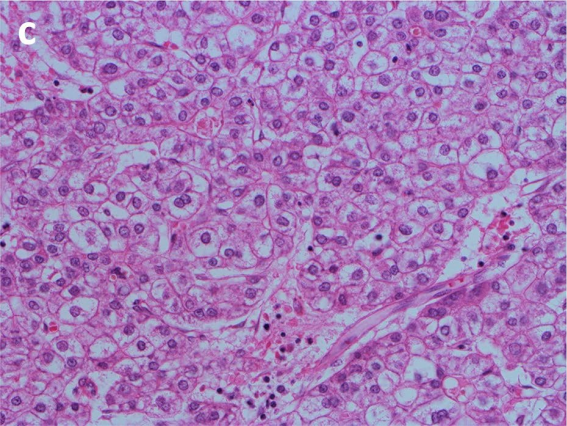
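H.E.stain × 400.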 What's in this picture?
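This is a tumor made of large polygonal cells arranged in cord-like bands several cells thick. The cells have abundant cytoplasm that ranges from clear to pale pink, with distinct cell borders. Their nuclei are round, mostly central, with visible nucleoli. Thin septa carrying small vessels with red blood cells run between the cords.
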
